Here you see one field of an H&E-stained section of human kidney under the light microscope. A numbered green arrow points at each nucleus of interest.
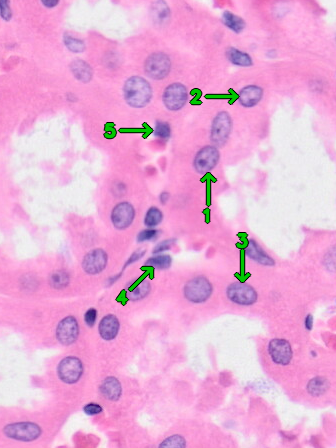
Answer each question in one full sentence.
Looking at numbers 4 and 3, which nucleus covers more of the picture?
Number 3 is larger; its area is about 1.5 times that of number 4.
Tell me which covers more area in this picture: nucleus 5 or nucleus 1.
At about 2 times the area of nucleus 5, nucleus 1 is the larger of the two.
